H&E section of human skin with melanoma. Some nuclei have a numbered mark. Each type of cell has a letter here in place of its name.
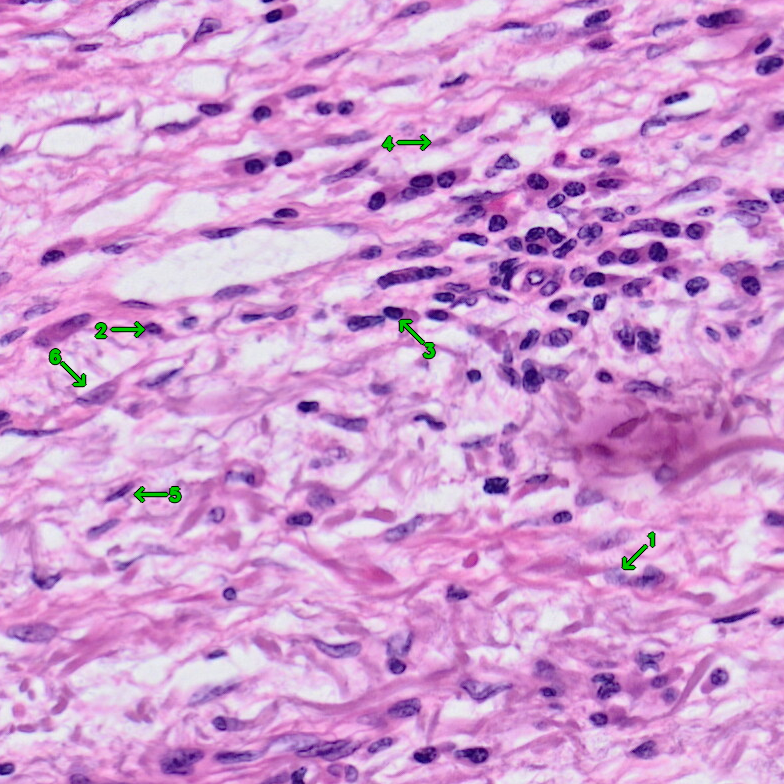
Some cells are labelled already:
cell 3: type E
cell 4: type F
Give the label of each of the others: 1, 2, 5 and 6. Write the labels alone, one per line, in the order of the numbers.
type F
type E
type F
type F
